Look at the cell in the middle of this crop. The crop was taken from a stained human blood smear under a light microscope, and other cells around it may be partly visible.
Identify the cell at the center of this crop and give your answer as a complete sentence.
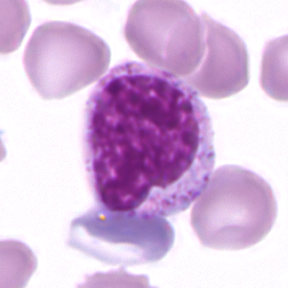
Seen at the centre of the crop is a metamyelocyte.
